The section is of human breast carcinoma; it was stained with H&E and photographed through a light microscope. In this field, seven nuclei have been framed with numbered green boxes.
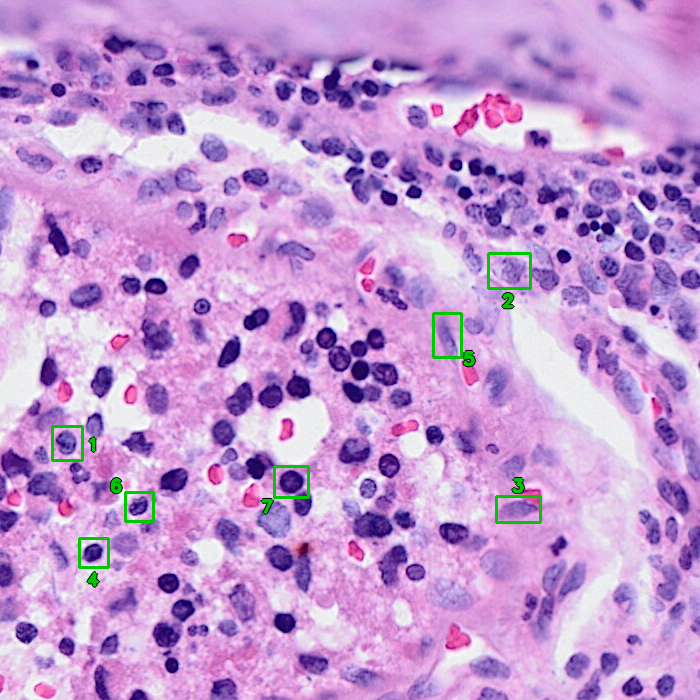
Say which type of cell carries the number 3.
endothelial cell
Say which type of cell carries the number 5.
endothelial cell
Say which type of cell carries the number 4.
lymphocyte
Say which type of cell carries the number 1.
lymphocyte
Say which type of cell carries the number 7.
carcinoma cell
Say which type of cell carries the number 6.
lymphocyte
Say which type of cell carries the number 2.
macrophage, monocyte or dendritic cell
